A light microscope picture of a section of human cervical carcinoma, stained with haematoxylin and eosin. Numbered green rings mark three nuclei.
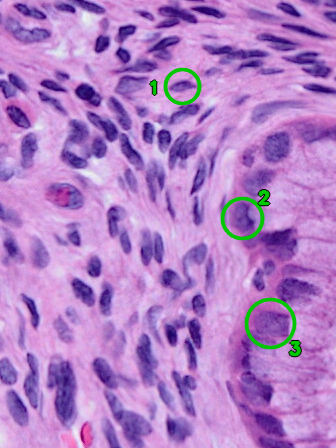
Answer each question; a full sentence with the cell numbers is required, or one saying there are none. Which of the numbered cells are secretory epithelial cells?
The cells which carry the numbers 2 and 3 are secretory epithelial cells.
